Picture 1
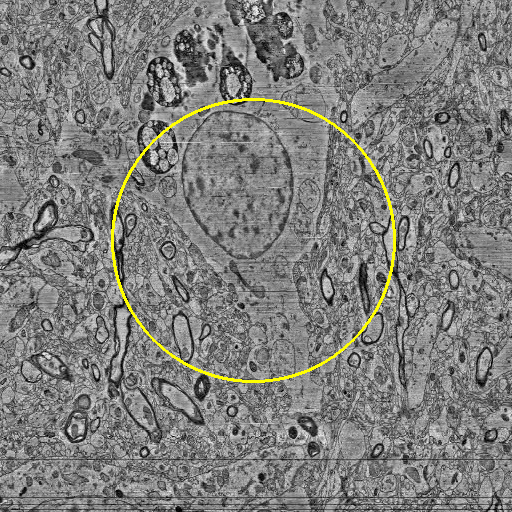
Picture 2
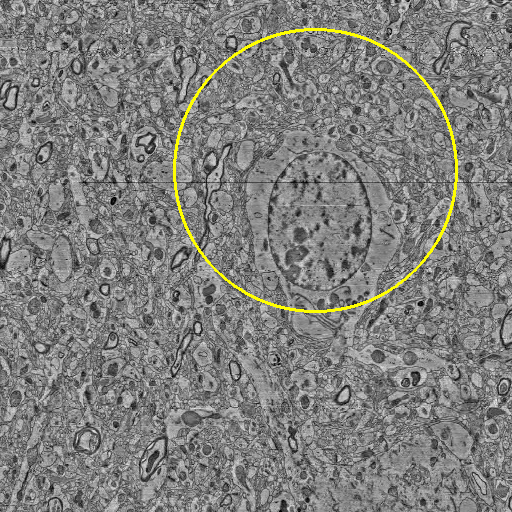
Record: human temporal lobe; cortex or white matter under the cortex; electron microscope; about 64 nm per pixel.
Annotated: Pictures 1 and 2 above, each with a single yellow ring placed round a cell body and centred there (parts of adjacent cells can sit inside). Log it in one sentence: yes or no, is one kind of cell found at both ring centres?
Yes, the ring centres of the two pictures hold cells of one kind.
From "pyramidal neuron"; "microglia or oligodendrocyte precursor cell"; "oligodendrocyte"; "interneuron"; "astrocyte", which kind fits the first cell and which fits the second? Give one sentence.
Both pictures show an astrocyte at the centre of the ring.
